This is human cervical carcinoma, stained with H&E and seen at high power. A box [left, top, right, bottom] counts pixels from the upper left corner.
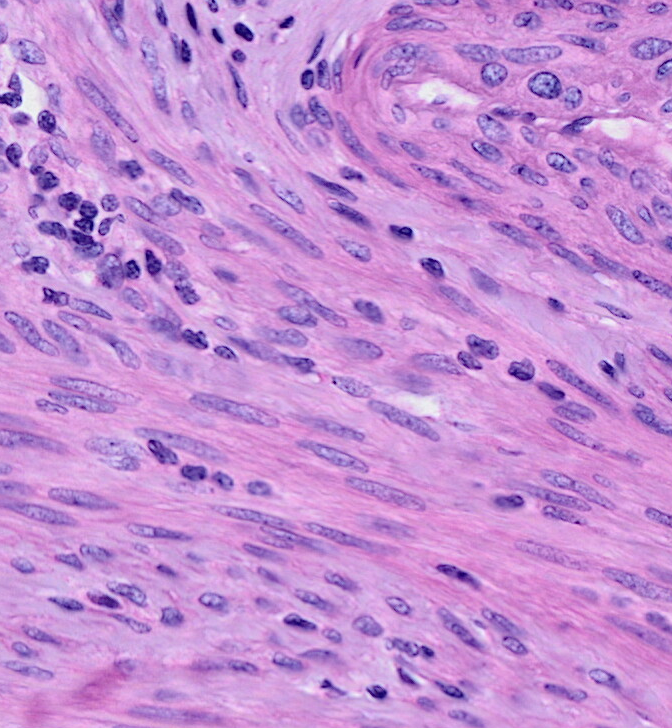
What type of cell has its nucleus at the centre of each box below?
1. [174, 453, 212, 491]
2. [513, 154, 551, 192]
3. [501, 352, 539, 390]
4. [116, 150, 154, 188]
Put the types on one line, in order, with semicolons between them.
lymphocyte; smooth muscle cell; lymphocyte; lymphocyte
